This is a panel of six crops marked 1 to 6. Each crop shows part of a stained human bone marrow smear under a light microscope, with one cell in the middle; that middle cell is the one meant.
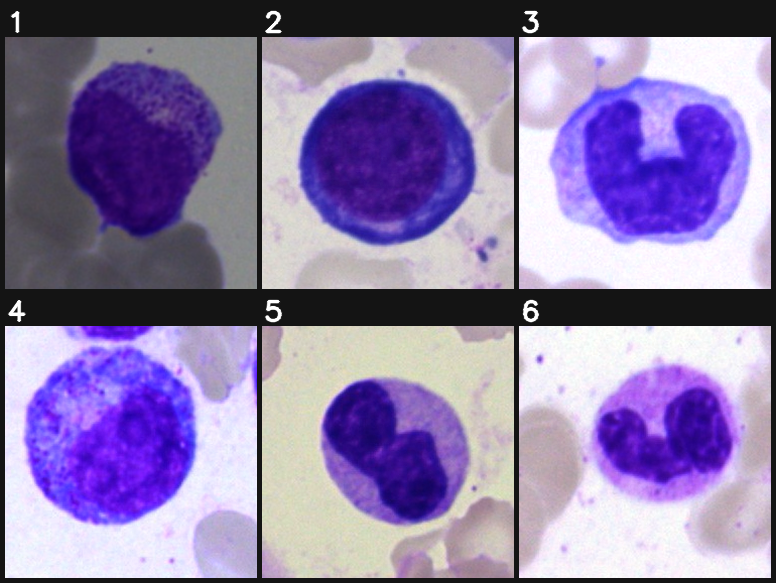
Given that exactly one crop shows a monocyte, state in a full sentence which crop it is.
Crop 3 is the one in the set with a monocyte at the center.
